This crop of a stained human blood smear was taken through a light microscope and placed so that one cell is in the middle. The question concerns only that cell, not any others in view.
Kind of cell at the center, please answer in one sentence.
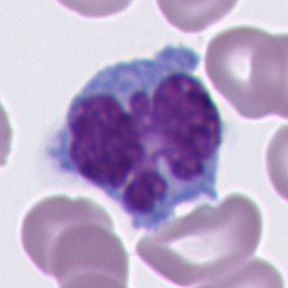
Standing at the centre of this crop is a monocyte.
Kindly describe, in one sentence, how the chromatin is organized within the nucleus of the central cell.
Take a look at the chromatin, which is coarsely clumped.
